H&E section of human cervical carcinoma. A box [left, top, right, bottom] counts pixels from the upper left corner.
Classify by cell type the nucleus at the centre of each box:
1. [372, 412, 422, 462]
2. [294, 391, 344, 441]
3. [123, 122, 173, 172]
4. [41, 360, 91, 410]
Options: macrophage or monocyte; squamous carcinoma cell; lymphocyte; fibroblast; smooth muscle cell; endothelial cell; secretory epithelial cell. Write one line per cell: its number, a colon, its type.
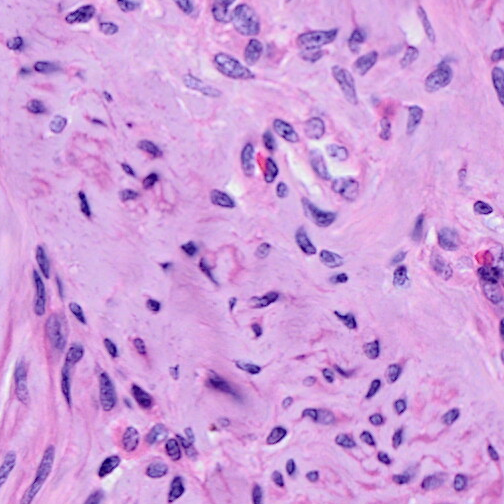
1: smooth muscle cell
2: smooth muscle cell
3: smooth muscle cell
4: fibroblast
